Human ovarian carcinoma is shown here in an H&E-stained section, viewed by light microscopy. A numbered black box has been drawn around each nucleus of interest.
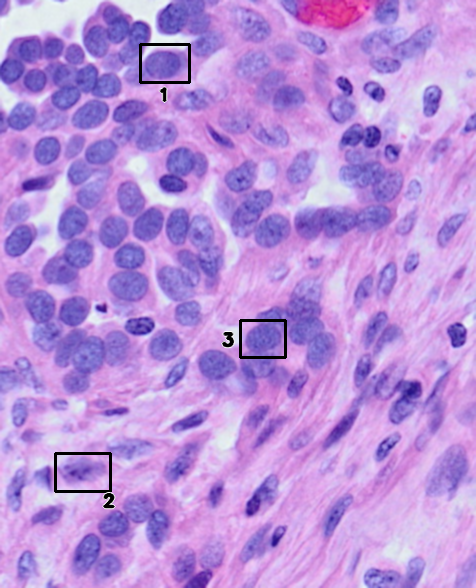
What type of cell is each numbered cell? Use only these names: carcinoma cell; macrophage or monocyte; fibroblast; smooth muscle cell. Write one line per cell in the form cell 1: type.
cell 1: carcinoma cell
cell 2: fibroblast
cell 3: carcinoma cell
